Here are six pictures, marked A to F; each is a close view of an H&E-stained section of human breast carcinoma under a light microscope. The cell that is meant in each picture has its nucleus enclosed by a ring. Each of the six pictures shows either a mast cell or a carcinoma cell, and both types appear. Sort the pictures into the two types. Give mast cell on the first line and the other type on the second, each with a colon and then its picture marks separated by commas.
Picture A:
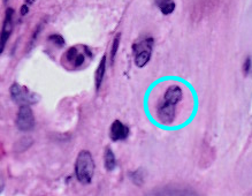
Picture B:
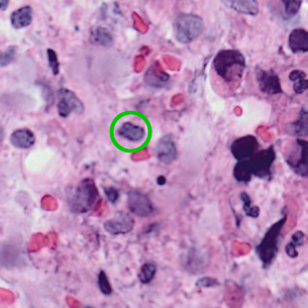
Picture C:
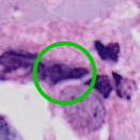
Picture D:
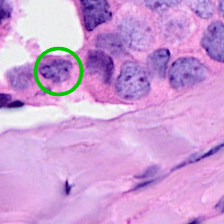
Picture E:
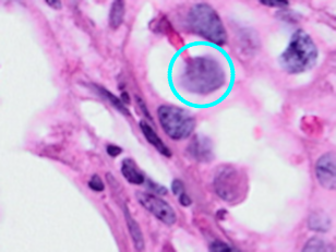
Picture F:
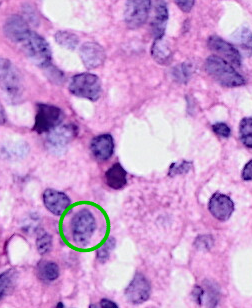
mast cell: A, B
carcinoma cell: C, D, E, F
